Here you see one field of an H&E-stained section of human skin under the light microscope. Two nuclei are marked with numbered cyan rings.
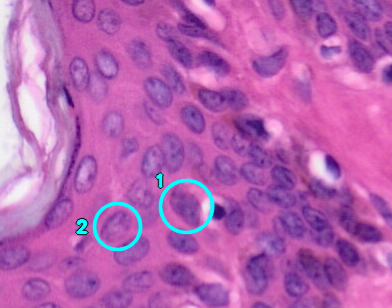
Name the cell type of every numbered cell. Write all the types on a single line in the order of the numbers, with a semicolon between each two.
basal keratinocyte; suprabasal keratinocyte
